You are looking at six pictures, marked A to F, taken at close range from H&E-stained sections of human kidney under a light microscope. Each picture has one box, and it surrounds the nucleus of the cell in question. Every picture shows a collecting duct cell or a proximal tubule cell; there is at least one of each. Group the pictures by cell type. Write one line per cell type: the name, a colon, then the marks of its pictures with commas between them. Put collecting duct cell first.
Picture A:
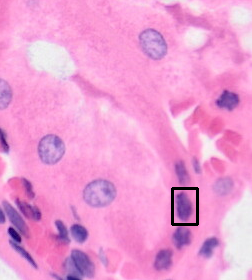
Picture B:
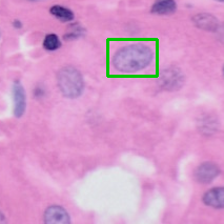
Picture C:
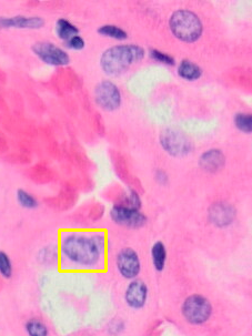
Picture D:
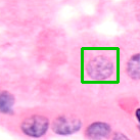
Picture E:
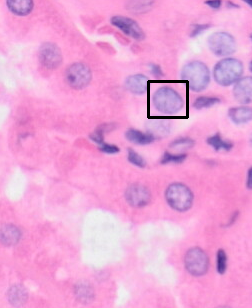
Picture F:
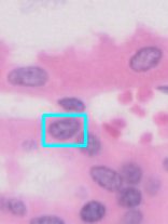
collecting duct cell: C, E, F
proximal tubule cell: A, B, D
